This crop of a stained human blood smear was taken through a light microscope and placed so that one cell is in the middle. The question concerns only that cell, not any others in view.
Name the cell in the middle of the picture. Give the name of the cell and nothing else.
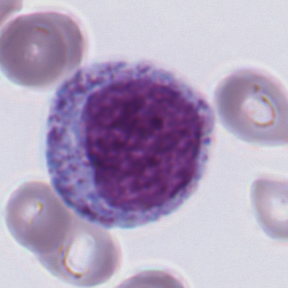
promyelocyte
